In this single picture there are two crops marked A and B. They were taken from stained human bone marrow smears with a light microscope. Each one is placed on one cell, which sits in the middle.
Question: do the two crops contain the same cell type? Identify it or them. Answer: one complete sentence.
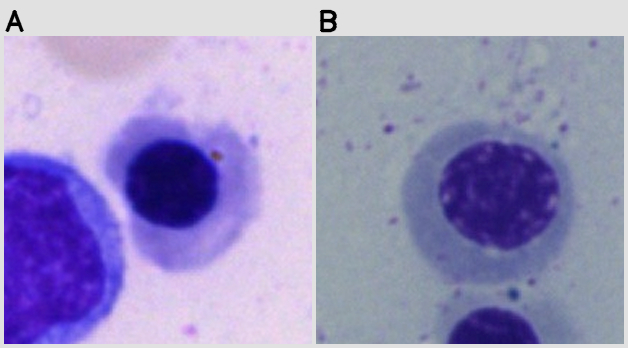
Yes, the same answer goes for both crops, namely erythroblasts.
